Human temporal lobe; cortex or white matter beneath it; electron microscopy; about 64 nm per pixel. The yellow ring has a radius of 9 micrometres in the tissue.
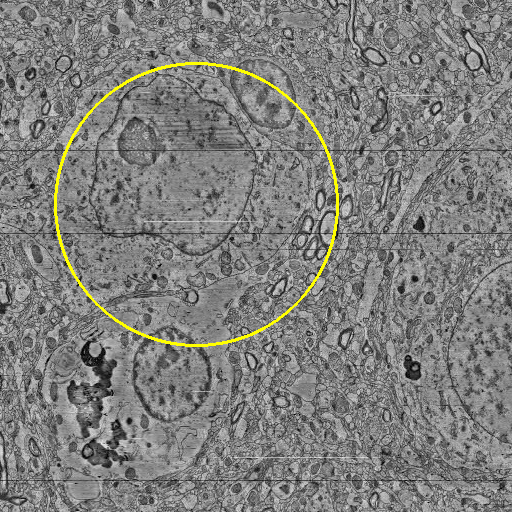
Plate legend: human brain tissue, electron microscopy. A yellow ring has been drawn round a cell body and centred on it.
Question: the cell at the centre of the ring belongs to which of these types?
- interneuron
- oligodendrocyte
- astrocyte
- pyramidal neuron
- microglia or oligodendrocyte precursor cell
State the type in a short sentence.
The cell in the middle of the ring is a pyramidal neuron.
